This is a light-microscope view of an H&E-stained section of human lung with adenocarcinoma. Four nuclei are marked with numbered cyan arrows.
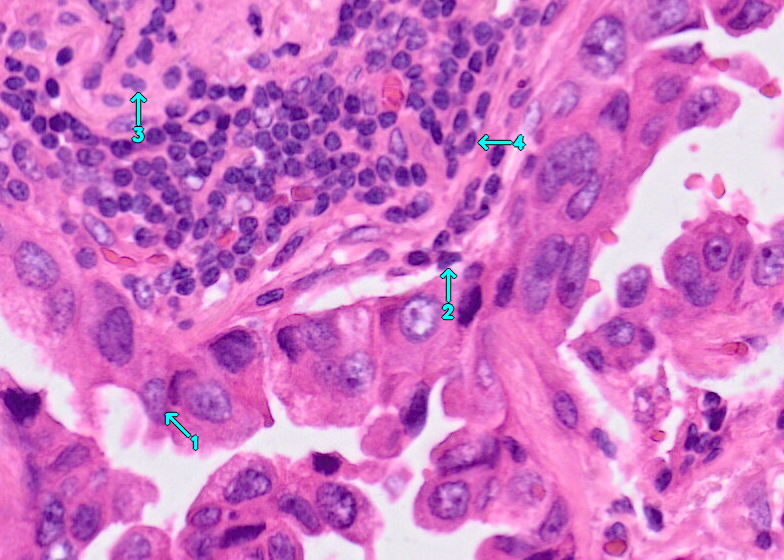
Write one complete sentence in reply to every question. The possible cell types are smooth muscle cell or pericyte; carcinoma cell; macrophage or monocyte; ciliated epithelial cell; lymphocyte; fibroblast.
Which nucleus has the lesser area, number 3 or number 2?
The smaller nucleus is 3, and 2 covers roughly 2 times its area.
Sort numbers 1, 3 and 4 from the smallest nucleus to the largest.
The order from the smallest nucleus to the largest is 3, 4, 1.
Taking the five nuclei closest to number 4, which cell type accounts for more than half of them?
Most of the five nuclei nearest to number 4 are those of lymphocytes.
